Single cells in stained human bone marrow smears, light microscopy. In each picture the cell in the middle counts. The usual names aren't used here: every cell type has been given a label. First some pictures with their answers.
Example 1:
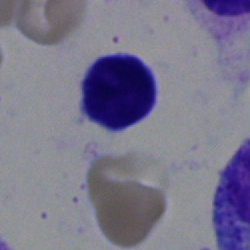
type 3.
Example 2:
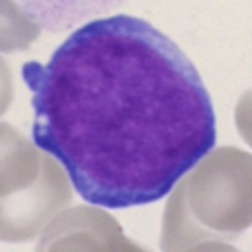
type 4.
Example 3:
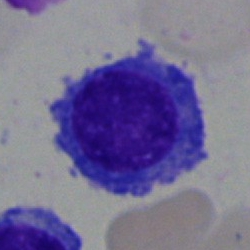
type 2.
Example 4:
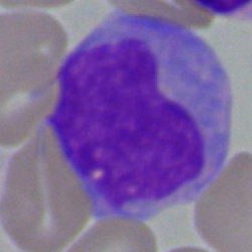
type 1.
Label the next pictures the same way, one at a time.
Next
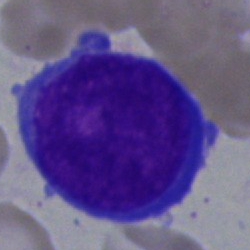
type 4.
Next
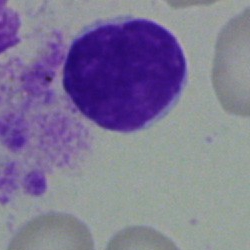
type 3.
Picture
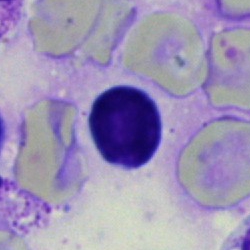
type 3.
